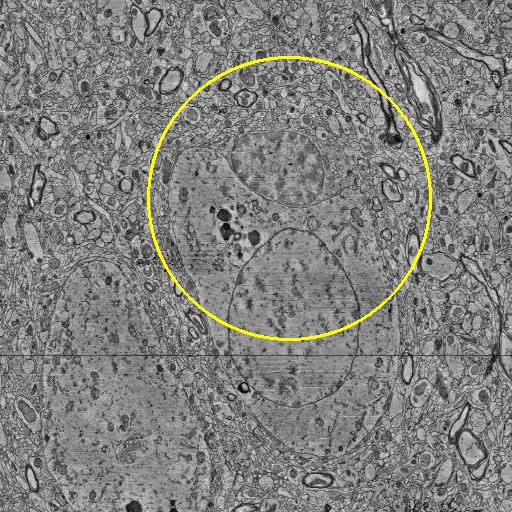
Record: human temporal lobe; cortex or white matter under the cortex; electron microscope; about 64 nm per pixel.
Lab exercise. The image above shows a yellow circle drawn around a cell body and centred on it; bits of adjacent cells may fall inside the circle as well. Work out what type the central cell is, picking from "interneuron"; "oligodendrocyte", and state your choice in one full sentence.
In the image above, the cell at the centre of the yellow circle is an oligodendrocyte.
